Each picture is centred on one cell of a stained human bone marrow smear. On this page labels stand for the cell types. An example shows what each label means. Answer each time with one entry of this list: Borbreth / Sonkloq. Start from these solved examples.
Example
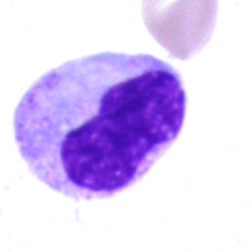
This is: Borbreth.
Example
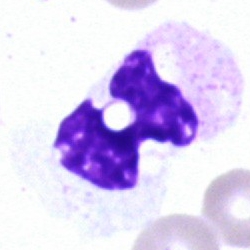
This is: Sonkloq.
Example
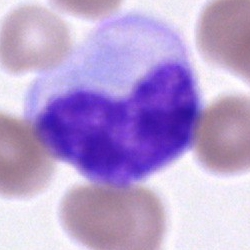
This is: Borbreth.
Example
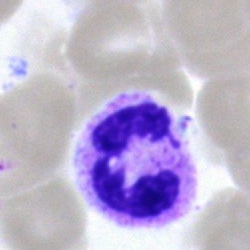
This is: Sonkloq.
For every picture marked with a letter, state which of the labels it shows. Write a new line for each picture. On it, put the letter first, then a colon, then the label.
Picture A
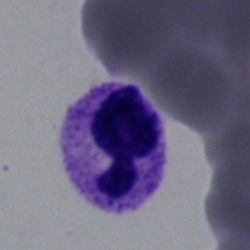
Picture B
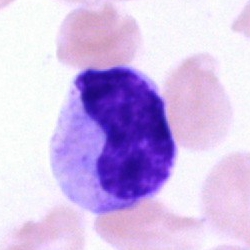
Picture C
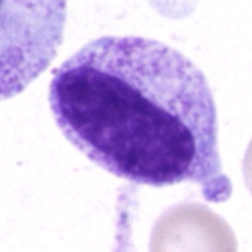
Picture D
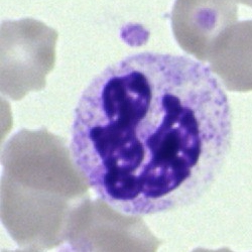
A: Sonkloq.
B: Borbreth.
C: Borbreth.
D: Sonkloq.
